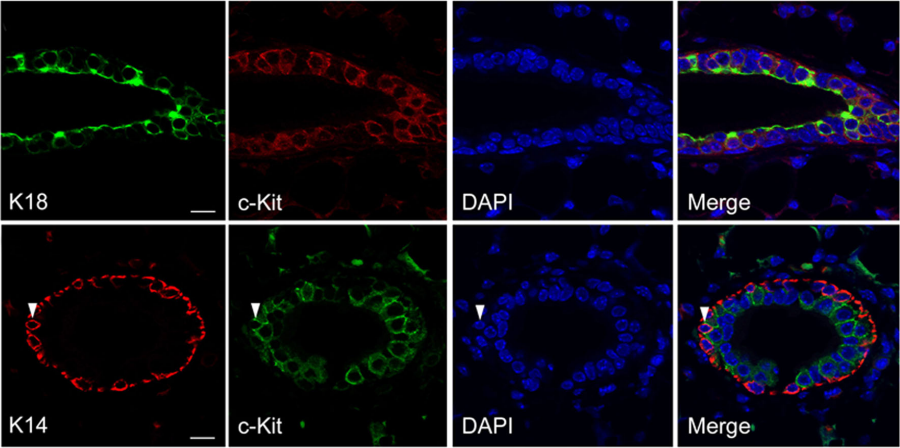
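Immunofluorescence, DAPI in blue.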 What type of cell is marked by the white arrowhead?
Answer: Basal cells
